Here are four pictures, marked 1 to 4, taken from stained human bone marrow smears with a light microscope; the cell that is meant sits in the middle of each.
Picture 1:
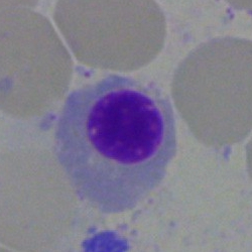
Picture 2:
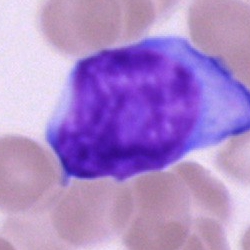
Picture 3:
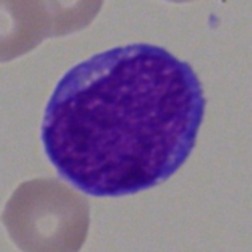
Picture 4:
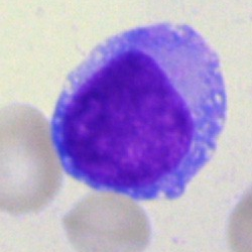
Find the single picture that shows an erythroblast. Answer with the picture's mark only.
1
